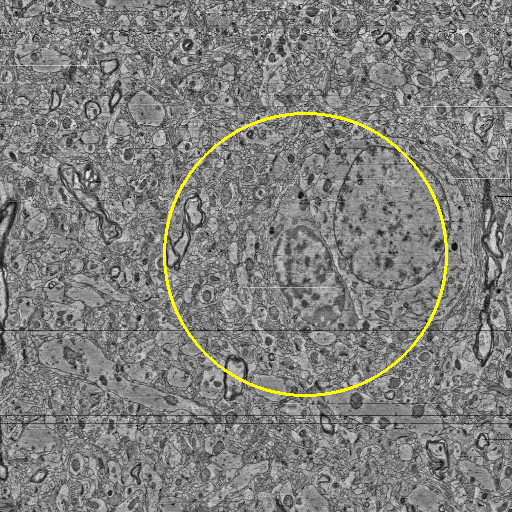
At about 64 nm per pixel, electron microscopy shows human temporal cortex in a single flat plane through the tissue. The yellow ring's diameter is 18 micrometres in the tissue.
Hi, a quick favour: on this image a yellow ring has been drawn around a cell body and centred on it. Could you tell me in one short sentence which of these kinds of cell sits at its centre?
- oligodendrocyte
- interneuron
The ring is centred on an oligodendrocyte.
